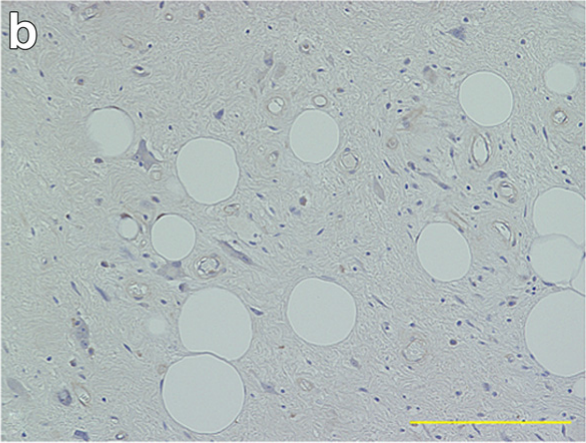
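Loose, paucicellular tissue with a pale, finely fibrillar background and scattered small cells. Many clear, round vacuoles of varied size are spread through the field. Small thin-walled vessels are scattered between them. The nuclei are small and mostly blue, with little or no brown stain.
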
